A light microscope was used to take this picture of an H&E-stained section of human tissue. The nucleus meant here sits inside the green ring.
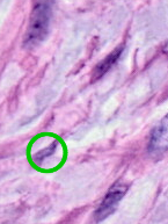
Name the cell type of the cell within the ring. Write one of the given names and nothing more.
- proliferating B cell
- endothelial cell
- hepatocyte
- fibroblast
fibroblast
